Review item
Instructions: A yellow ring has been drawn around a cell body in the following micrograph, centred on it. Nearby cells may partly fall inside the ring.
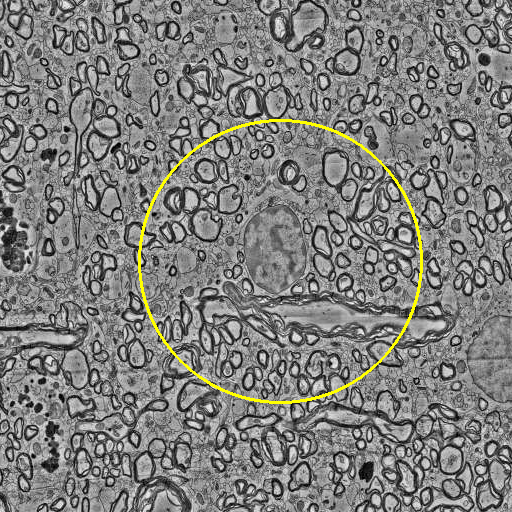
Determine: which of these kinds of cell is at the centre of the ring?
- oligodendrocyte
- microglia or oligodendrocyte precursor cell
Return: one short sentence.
The cell body in the middle of the ring is that of a microglial cell or oligodendrocyte precursor cell.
